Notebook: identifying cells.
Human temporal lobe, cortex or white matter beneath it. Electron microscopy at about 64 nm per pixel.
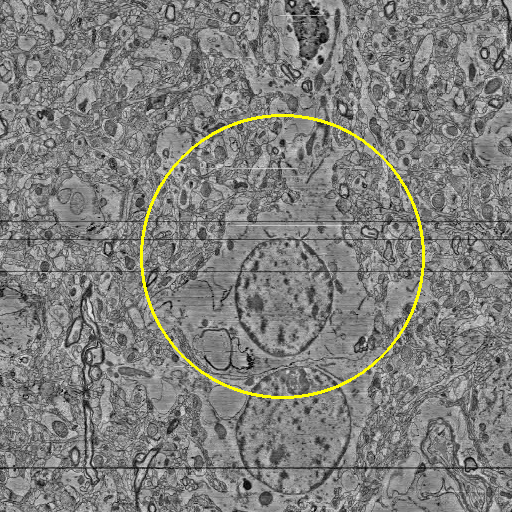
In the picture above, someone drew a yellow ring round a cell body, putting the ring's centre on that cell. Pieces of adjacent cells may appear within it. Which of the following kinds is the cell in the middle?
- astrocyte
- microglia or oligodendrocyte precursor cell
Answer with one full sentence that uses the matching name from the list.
In this picture, the yellow ring is centred on the body of an astrocyte.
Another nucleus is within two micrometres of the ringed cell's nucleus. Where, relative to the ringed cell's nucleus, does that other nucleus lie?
The other one lies below it.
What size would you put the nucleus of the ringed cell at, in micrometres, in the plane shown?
Approximately 8 x 6 micrometres in this plane.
